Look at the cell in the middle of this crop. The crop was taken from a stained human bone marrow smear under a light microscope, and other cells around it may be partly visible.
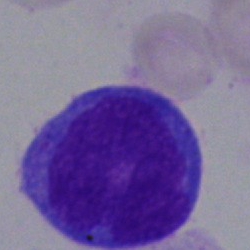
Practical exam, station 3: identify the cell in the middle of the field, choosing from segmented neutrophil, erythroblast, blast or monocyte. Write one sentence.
Present in the middle of the crop is a blast.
